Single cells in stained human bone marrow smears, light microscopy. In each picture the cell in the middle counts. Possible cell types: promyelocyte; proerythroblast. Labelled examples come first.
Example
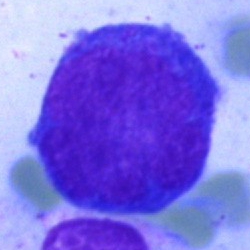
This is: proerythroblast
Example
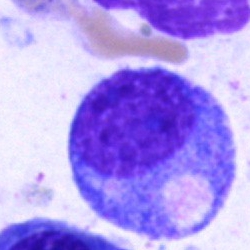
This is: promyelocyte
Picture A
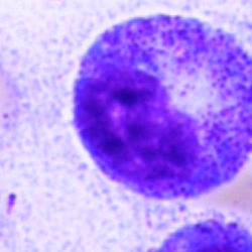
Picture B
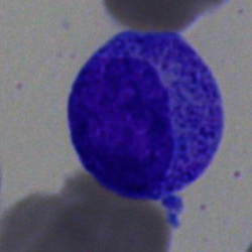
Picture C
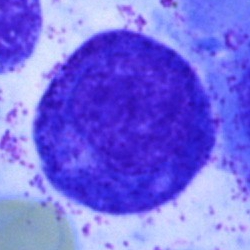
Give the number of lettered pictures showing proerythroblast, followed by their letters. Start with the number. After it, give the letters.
0, none of them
